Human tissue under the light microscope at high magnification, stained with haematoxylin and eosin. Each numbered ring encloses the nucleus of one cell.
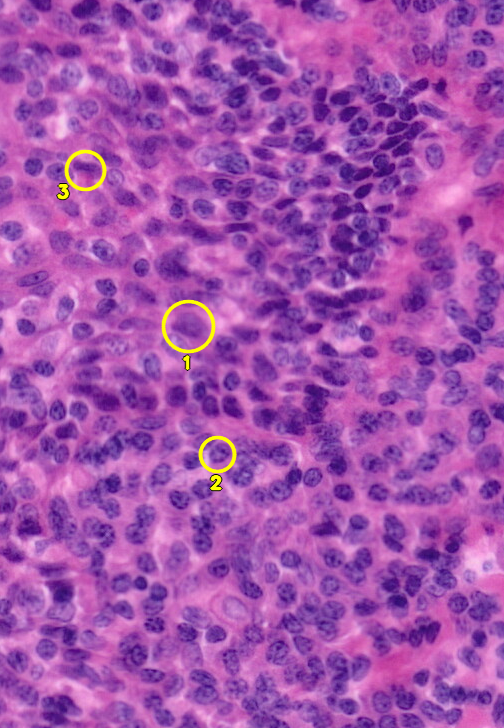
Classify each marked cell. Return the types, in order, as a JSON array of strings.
["squamous epithelial cell", "plasma cell", "squamous epithelial cell"]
